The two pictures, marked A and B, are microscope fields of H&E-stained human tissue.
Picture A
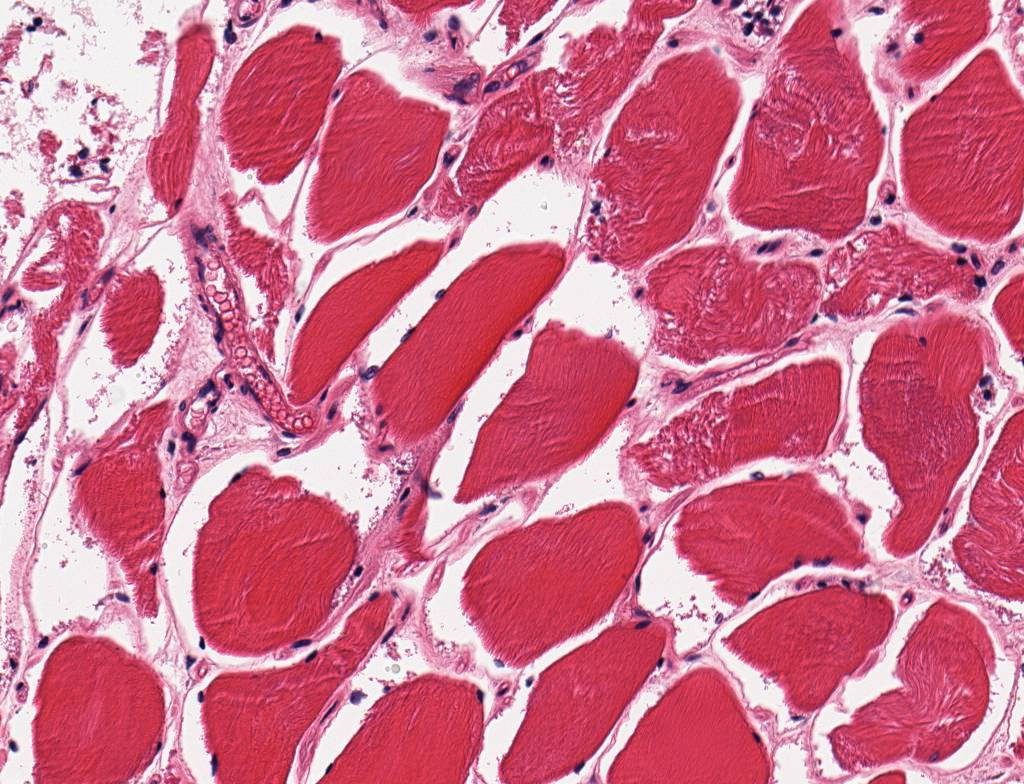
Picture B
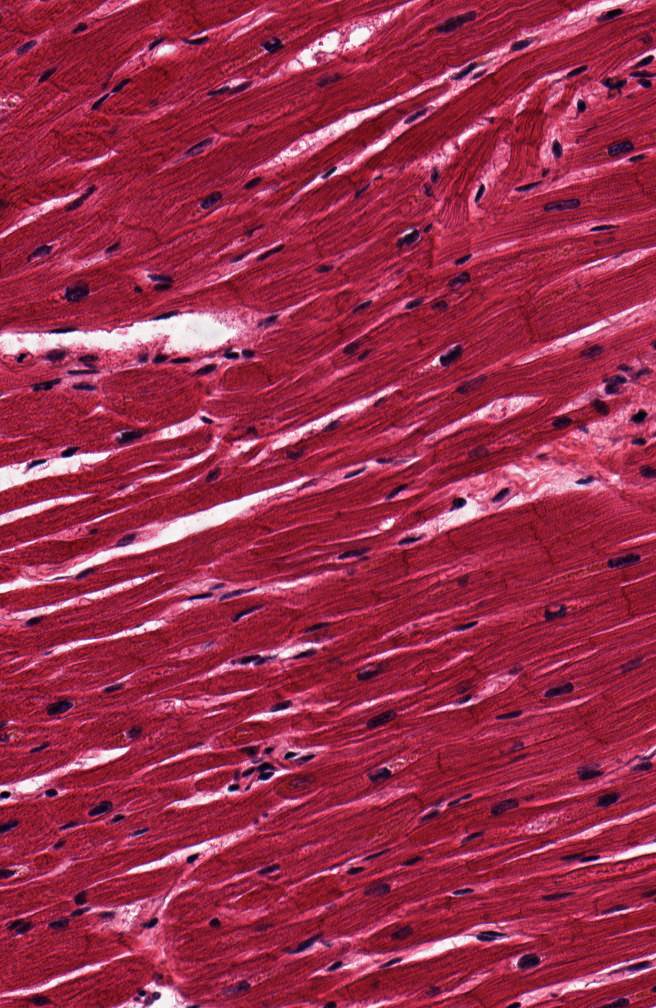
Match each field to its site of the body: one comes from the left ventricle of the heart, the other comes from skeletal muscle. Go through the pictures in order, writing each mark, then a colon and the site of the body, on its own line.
A: skeletal muscle
B: left ventricle of the heart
